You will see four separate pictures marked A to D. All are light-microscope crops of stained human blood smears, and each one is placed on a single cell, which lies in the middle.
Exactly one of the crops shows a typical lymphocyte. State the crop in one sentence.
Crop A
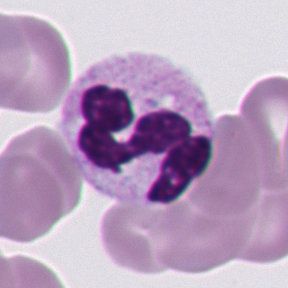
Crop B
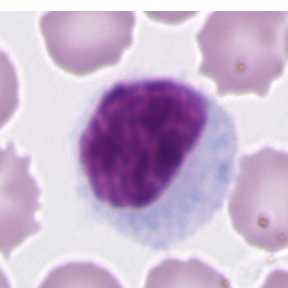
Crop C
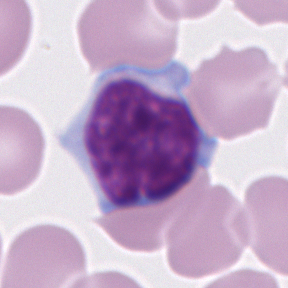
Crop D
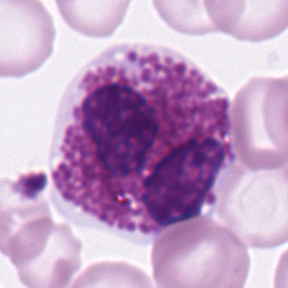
The crop carrying a typical lymphocyte at the center is crop C.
